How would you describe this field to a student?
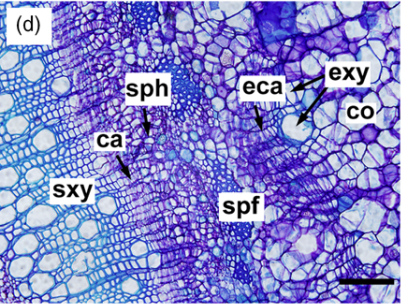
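This stem cross section shows secondary xylem on the left, with large rounded vessels among smaller cells in radial files, stained blue. Outside it lies a narrow band of flattened cambial cells, then secondary phloem with a compact group of small thick-walled phloem fibres. Farther out, within the cortex, additional rows of small flattened cells form a second cambium-like band, and beside it lie enlarged angular cells with thickened walls resembling xylem elements. These sit among large, thin-walled, purple-stained cortical parenchyma cells, a pattern not expected in the cortex.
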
